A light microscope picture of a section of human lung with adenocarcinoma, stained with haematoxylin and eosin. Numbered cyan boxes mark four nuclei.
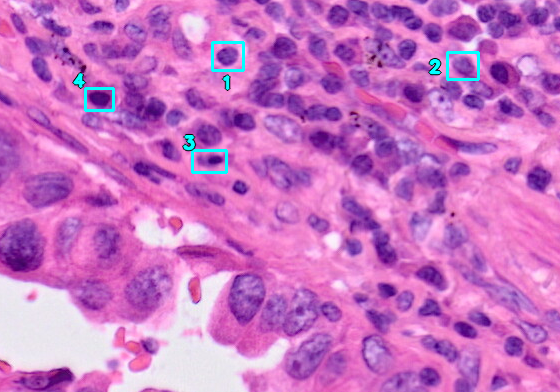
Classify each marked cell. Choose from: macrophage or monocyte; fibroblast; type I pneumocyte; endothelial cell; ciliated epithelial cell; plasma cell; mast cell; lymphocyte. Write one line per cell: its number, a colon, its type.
1: lymphocyte
2: lymphocyte
3: plasma cell
4: plasma cell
